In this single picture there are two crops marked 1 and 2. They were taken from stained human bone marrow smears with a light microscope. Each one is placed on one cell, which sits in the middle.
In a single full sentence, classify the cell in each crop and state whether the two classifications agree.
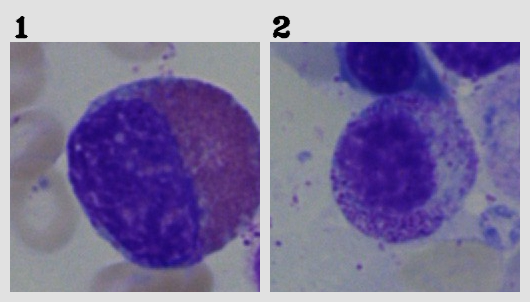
No, an eosinophil is the subject of crop 1, and a myelocyte is the subject of crop 2.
